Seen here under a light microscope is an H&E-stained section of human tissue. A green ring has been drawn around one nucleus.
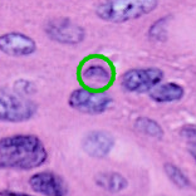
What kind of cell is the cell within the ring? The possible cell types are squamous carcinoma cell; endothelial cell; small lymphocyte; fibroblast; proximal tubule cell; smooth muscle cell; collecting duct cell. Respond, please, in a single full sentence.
Within the stained tissue, the cell within the ring is a squamous carcinoma cell.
